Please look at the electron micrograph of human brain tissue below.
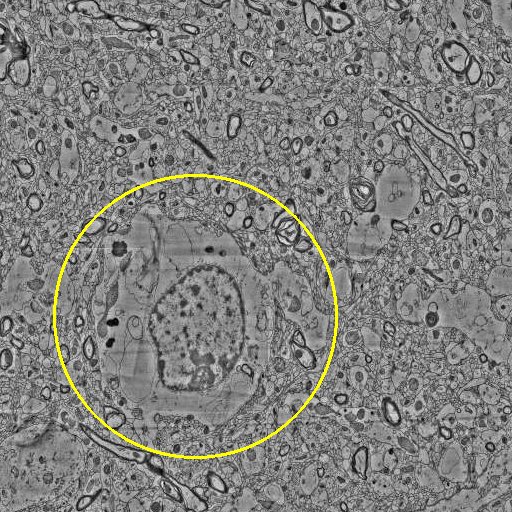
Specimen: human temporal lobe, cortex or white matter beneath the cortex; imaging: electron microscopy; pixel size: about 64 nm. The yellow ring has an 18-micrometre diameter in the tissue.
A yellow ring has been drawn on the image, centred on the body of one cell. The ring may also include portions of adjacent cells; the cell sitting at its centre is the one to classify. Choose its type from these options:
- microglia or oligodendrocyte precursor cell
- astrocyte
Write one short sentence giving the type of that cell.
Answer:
The cell in the middle of the ring is an astrocyte.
